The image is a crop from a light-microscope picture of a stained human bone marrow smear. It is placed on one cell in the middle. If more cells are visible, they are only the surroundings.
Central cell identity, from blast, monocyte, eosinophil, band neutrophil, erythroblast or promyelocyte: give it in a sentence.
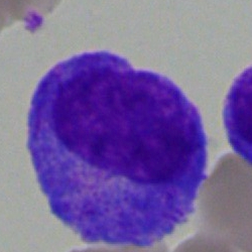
The cell at the heart of this crop is a promyelocyte.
